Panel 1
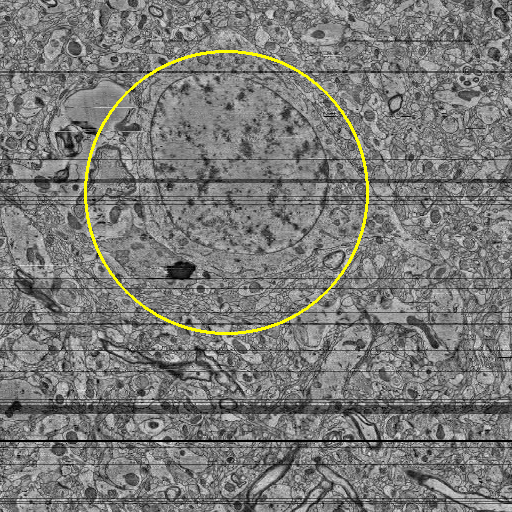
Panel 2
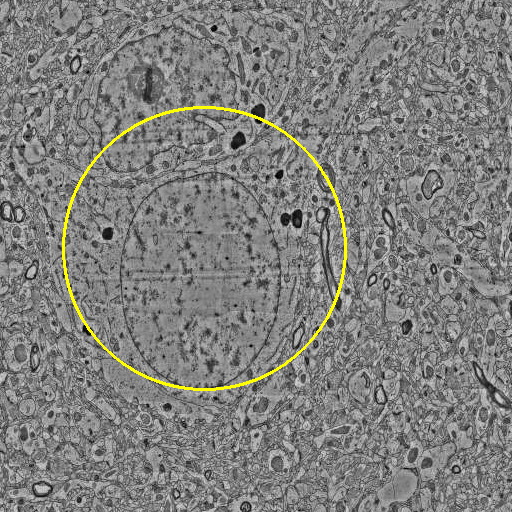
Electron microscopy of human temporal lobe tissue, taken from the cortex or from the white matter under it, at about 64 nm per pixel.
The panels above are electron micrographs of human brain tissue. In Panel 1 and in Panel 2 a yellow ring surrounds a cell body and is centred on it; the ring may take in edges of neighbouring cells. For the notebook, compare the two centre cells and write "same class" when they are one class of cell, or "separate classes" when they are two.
same class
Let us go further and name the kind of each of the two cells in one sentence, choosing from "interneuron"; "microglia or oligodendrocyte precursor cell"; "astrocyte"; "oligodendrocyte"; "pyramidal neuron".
Both the first and the second picture show a pyramidal neuron in the ring.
